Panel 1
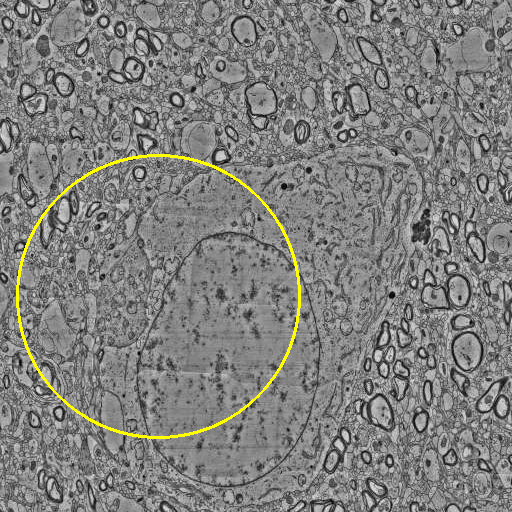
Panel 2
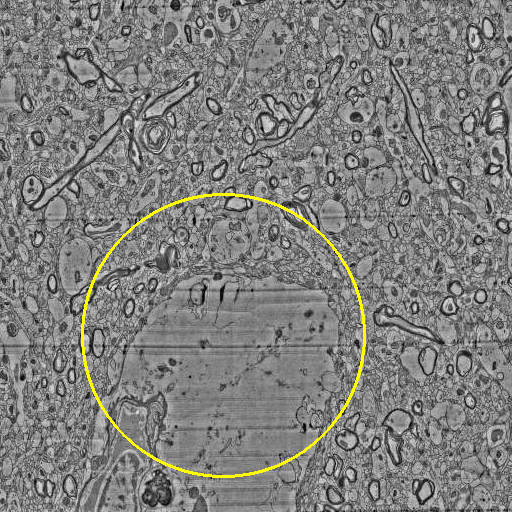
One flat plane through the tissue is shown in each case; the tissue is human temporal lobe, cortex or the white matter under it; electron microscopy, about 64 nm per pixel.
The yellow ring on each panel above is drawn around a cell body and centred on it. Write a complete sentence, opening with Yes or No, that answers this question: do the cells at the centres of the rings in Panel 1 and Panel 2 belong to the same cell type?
Yes, both cells belong to the same cell type.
